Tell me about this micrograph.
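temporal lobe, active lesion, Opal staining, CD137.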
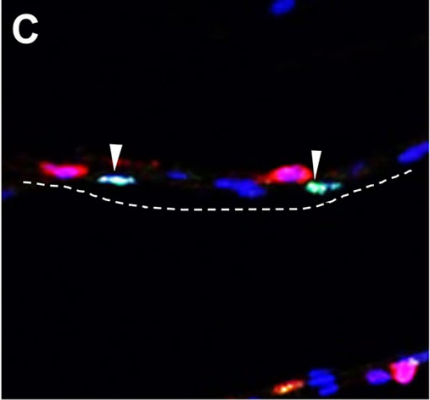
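A thin vessel wall crosses the field as a single row of flattened, elongated blue nuclei along the endothelial lining. Among them sit small cells with cyan-green signal, while brighter red-magenta cells lie nearby along the same wall.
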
